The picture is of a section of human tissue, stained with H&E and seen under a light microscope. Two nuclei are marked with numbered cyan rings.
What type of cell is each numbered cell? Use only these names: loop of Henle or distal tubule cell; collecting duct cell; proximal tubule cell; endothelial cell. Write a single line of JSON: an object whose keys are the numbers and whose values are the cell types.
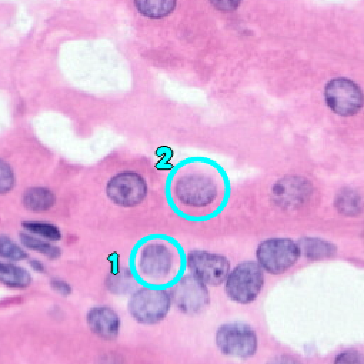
{"1": "collecting duct cell", "2": "proximal tubule cell"}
